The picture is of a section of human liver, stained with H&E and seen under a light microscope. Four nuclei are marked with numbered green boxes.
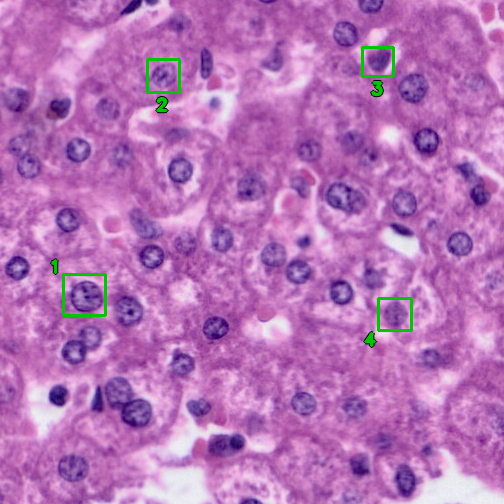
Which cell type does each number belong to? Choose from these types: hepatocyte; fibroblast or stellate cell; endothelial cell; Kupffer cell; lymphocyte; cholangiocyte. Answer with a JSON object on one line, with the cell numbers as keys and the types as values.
{"1": "hepatocyte", "2": "hepatocyte", "3": "Kupffer cell", "4": "hepatocyte"}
